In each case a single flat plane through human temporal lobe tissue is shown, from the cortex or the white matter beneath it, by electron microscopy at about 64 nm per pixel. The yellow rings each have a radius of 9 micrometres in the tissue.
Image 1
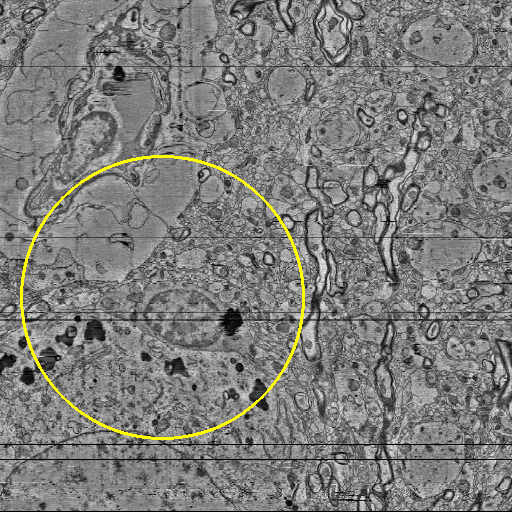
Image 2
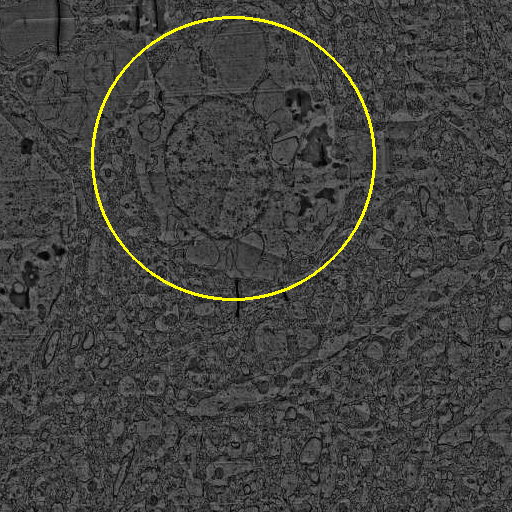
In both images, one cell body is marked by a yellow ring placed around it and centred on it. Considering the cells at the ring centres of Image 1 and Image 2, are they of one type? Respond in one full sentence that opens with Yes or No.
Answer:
No, two types apply to the ring-centred cells of Image 1 and Image 2.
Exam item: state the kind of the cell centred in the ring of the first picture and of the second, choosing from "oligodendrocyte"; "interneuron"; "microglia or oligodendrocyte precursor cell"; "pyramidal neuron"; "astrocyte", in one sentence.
The first picture shows an oligodendrocyte at the ring centre and the second shows an astrocyte.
